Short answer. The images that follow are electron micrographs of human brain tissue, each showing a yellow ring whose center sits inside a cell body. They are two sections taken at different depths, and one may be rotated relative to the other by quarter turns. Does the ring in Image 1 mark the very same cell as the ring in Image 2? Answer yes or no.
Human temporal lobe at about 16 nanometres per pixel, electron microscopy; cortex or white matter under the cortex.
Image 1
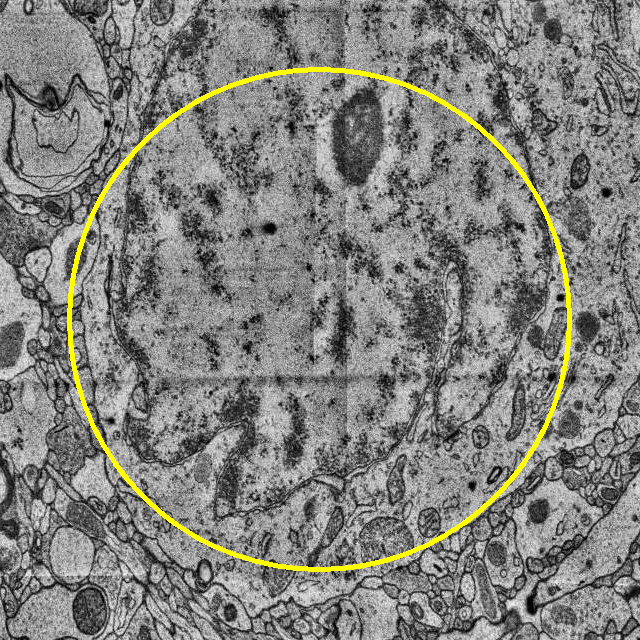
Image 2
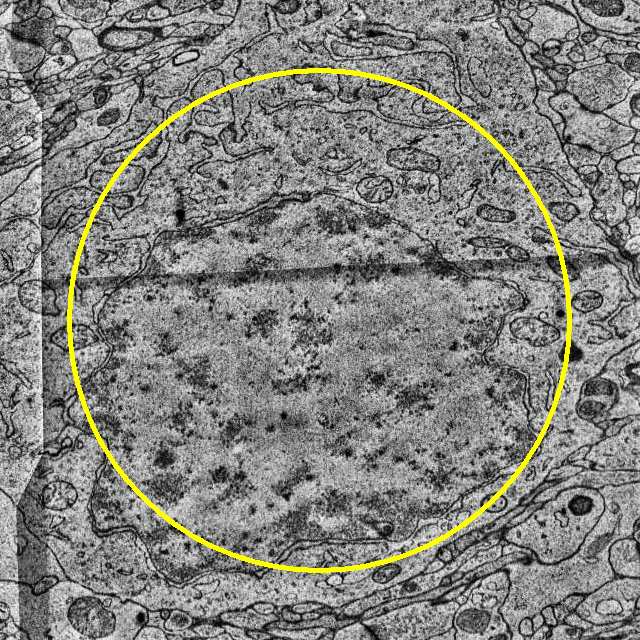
no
